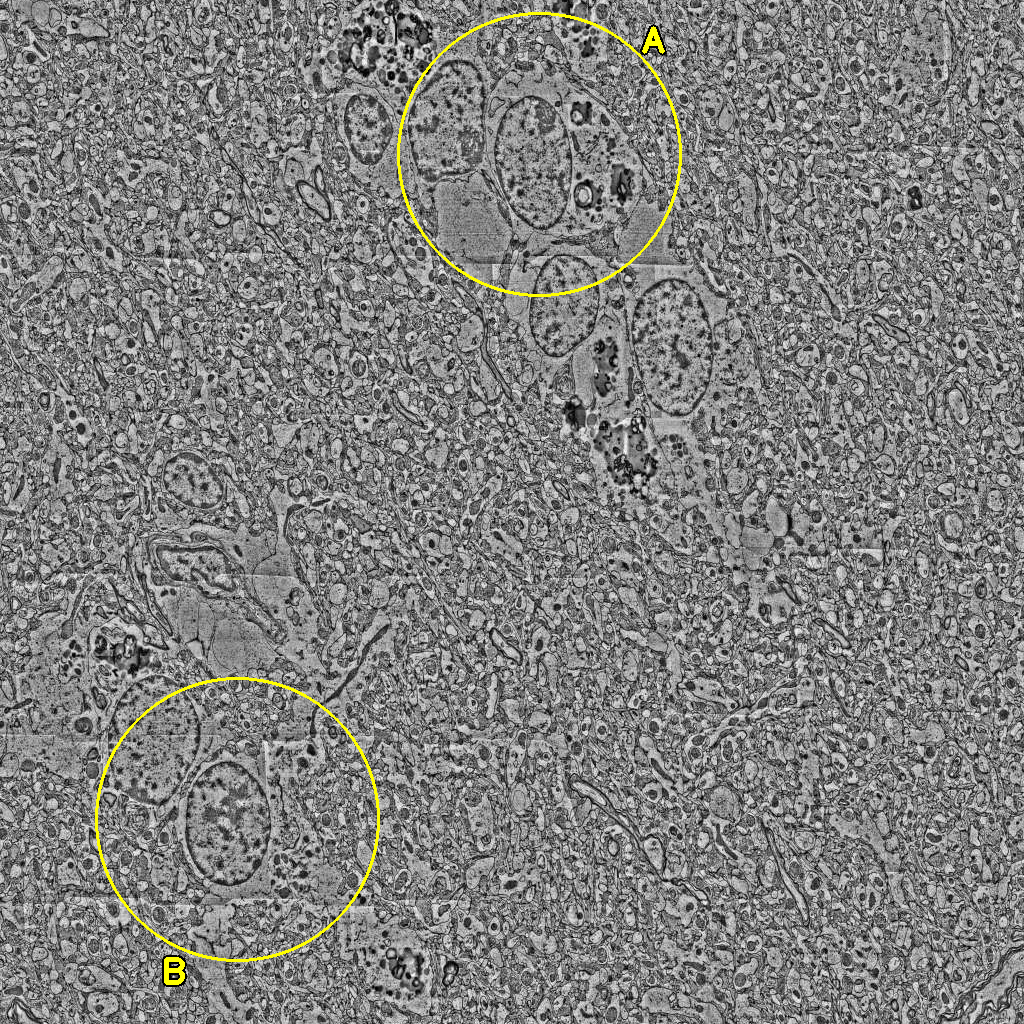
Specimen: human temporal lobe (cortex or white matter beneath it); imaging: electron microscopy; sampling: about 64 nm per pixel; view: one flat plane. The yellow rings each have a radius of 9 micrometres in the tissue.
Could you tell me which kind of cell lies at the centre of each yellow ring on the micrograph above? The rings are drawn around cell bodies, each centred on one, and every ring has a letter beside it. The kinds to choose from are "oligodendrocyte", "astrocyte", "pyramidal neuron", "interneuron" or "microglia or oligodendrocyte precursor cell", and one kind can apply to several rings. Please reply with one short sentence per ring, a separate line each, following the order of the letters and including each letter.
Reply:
Ring A circles an astrocyte.
Ring B circles an astrocyte.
